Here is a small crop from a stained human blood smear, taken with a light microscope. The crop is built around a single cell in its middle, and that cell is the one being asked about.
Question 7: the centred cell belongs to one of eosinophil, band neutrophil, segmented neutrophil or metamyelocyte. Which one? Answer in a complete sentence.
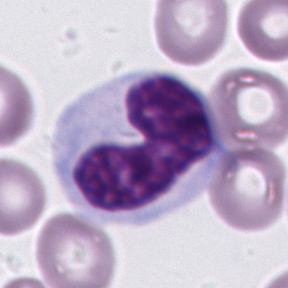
At the crop's centre, the cell is a band neutrophil.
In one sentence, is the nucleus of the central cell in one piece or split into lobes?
In this cell the nucleus is a solitary compact mass, round, oval or kidney-shaped.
